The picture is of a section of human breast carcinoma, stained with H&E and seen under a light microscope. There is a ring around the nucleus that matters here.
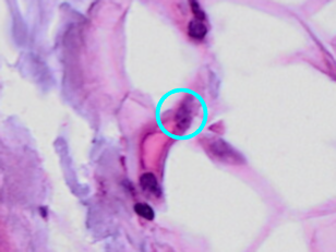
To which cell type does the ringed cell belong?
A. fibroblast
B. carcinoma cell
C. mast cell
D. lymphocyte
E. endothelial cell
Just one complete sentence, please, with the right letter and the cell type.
Of the options offered, E is correct, as the ringed cell is an endothelial cell.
